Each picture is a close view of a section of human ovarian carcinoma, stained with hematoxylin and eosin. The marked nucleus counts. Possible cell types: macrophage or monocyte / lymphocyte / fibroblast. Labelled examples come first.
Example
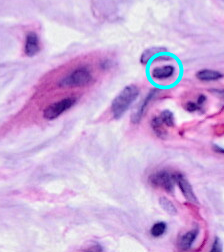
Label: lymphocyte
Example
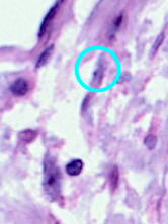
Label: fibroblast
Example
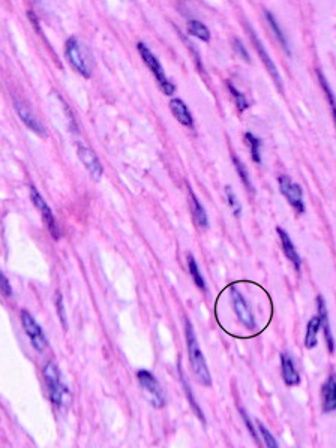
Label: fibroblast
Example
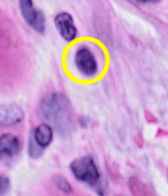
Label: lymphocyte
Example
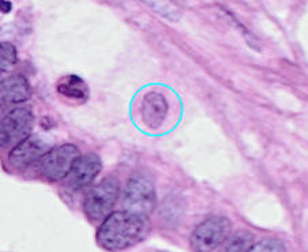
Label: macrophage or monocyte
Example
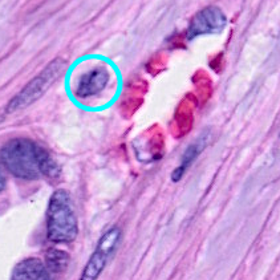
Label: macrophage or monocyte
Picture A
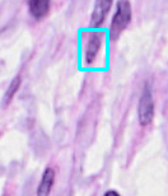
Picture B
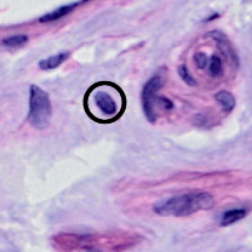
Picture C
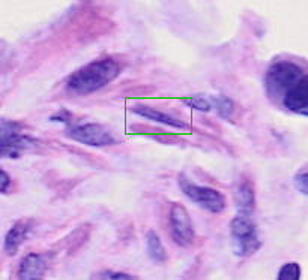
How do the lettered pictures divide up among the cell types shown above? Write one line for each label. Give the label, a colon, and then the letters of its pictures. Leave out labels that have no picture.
lymphocyte: B
fibroblast: A, C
